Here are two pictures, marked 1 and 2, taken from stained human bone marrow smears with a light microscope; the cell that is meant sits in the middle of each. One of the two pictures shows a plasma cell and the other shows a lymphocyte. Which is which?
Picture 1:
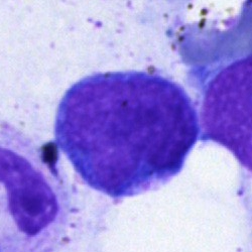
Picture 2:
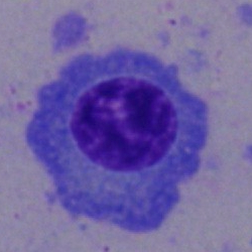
1: lymphocyte
2: plasma cell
